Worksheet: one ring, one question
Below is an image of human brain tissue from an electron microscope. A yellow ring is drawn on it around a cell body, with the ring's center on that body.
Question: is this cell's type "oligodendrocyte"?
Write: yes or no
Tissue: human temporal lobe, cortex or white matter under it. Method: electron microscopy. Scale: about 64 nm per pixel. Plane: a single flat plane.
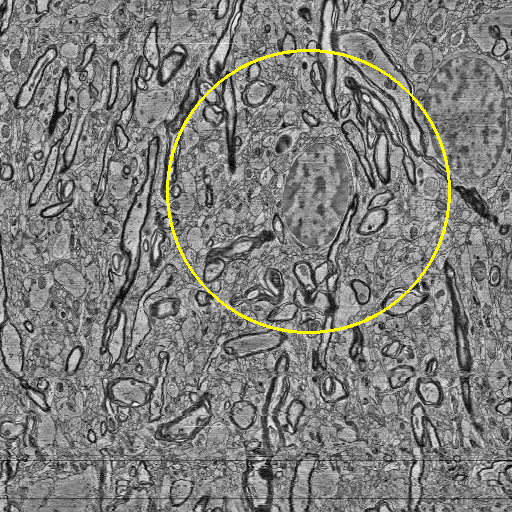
no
